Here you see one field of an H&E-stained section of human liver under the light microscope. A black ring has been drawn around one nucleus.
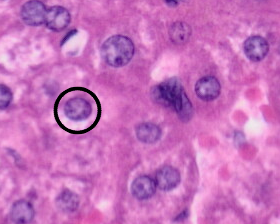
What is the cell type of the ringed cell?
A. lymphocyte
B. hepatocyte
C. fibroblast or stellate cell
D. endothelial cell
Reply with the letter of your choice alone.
B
